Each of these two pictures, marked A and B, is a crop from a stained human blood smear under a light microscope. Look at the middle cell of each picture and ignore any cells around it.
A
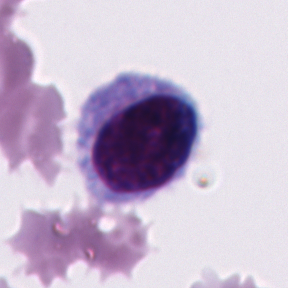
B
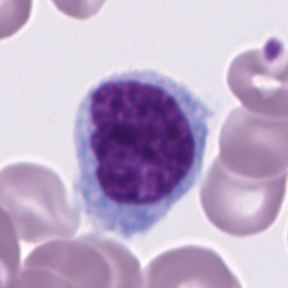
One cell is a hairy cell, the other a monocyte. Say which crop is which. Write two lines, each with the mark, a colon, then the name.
A: hairy cell
B: monocyte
